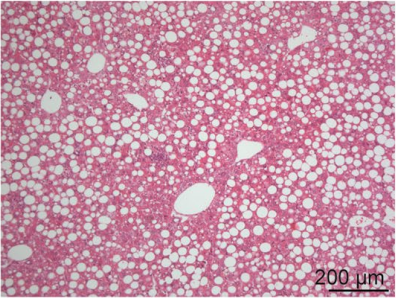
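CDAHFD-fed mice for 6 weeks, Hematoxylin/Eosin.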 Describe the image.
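This is liver tissue stained pink and purple, in which most hepatocytes are filled with round, clear, empty-looking vacuoles of very different sizes, from small droplets to large ones the size of a whole cell. Several open vessels with smooth walls are scattered across the section.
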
